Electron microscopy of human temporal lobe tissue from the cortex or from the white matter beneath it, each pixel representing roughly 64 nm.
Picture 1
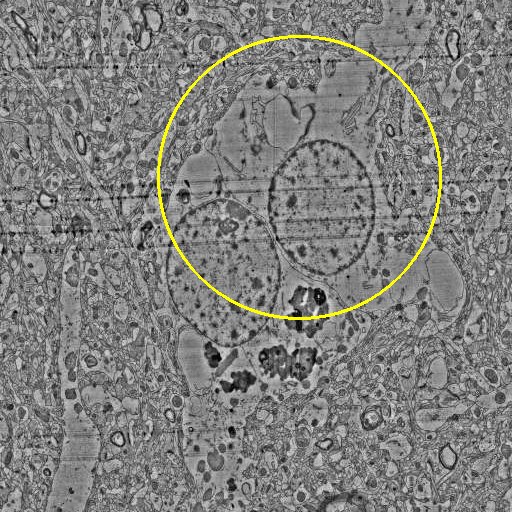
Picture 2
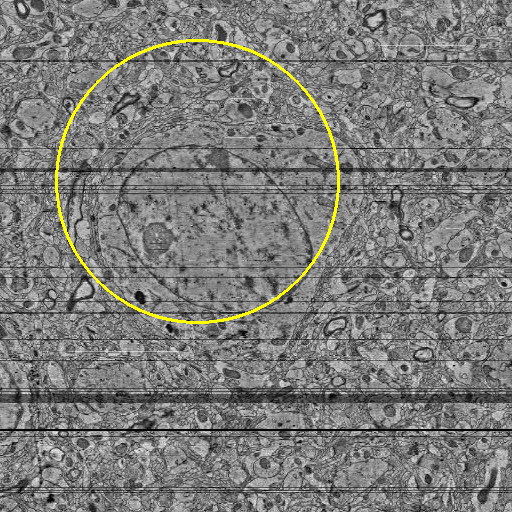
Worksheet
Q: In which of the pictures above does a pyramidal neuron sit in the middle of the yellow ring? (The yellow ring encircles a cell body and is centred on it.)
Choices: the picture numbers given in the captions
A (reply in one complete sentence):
In picture 2, the cell sitting at the centre of the ring is the match.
